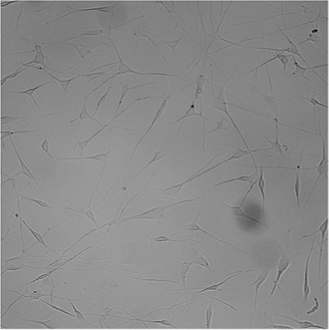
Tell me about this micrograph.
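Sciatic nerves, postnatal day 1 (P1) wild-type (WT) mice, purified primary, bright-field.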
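This is a sparse culture of Schwann cells seen without staining. Most cells are slender and spindle-shaped, with a small oval cell body from which long, very thin processes run out, usually from the two opposite poles, giving them a bipolar look. A few cells have three processes. The cells lie singly, not in sheets, and their fine processes stretch across the dish and touch those of neighbouring cells, forming a loose network.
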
